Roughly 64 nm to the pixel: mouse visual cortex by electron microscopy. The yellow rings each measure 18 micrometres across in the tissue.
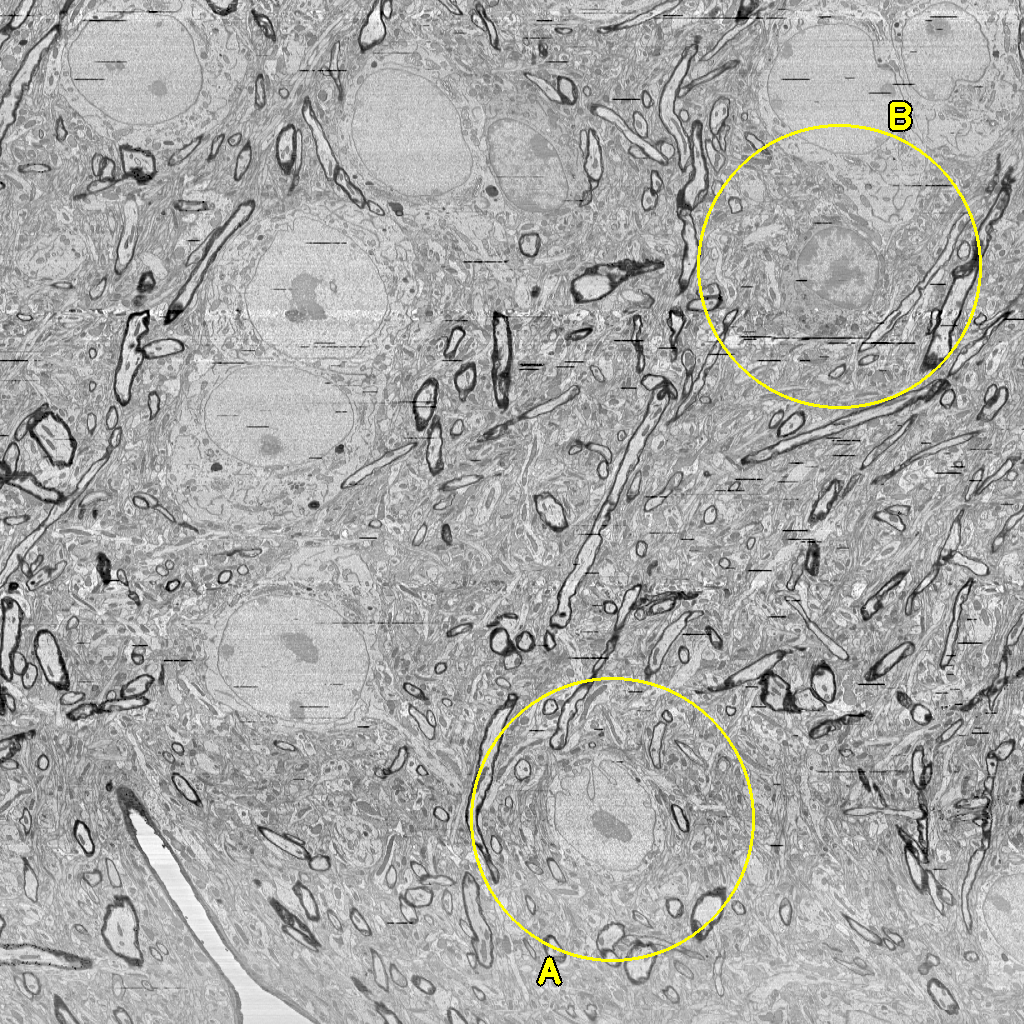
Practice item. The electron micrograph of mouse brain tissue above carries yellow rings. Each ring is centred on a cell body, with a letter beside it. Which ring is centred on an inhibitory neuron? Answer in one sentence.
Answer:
Ring A is centred on it.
